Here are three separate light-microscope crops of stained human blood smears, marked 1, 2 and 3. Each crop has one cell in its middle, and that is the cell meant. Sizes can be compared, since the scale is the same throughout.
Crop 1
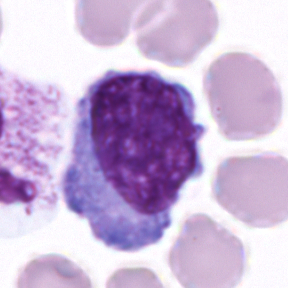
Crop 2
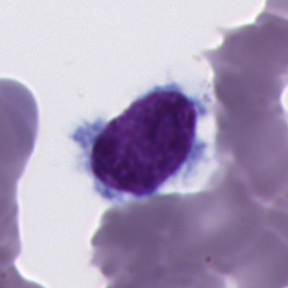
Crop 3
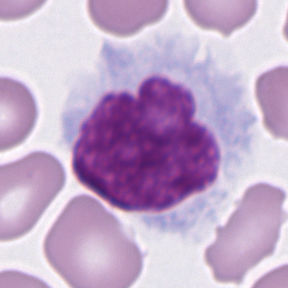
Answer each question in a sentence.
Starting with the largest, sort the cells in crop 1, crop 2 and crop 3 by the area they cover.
The order is 3, 1, 2, beginning with the largest.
